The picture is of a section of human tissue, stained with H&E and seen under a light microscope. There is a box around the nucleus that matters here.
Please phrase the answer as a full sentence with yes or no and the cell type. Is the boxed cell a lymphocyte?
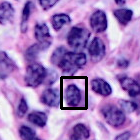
Yes, the boxed cell is a lymphocyte; nothing to add.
